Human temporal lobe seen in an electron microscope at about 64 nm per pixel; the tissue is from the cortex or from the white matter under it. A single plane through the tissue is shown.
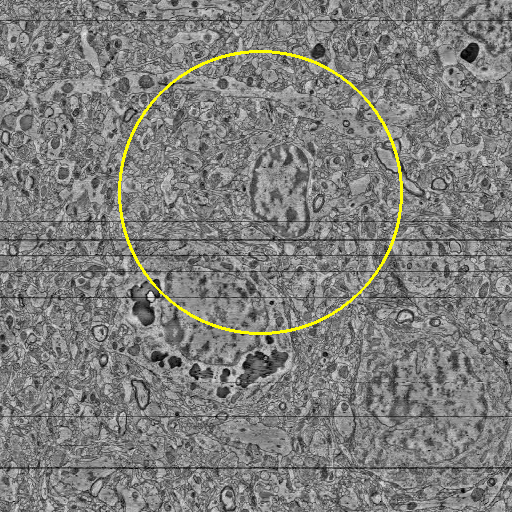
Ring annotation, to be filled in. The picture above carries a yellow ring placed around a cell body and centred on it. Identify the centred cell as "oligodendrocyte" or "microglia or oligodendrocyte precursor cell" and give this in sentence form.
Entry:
The cell in the middle of the ring is a microglial cell or oligodendrocyte precursor cell.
